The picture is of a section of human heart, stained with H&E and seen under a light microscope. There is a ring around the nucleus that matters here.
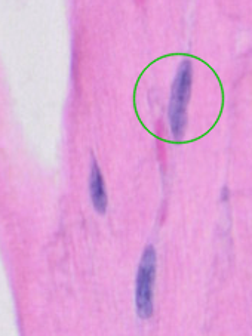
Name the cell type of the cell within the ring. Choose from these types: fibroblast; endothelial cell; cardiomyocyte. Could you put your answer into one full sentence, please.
As to its cell type, the cell within the ring is a fibroblast.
